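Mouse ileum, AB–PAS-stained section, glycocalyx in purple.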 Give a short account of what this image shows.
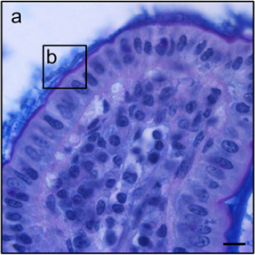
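This is the tip of an intestinal villus covered by a single layer of tall columnar epithelial cells. Their elongated dark nuclei sit in a row towards the base of the cells, with a paler core of connective tissue and scattered round nuclei in the middle of the villus.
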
